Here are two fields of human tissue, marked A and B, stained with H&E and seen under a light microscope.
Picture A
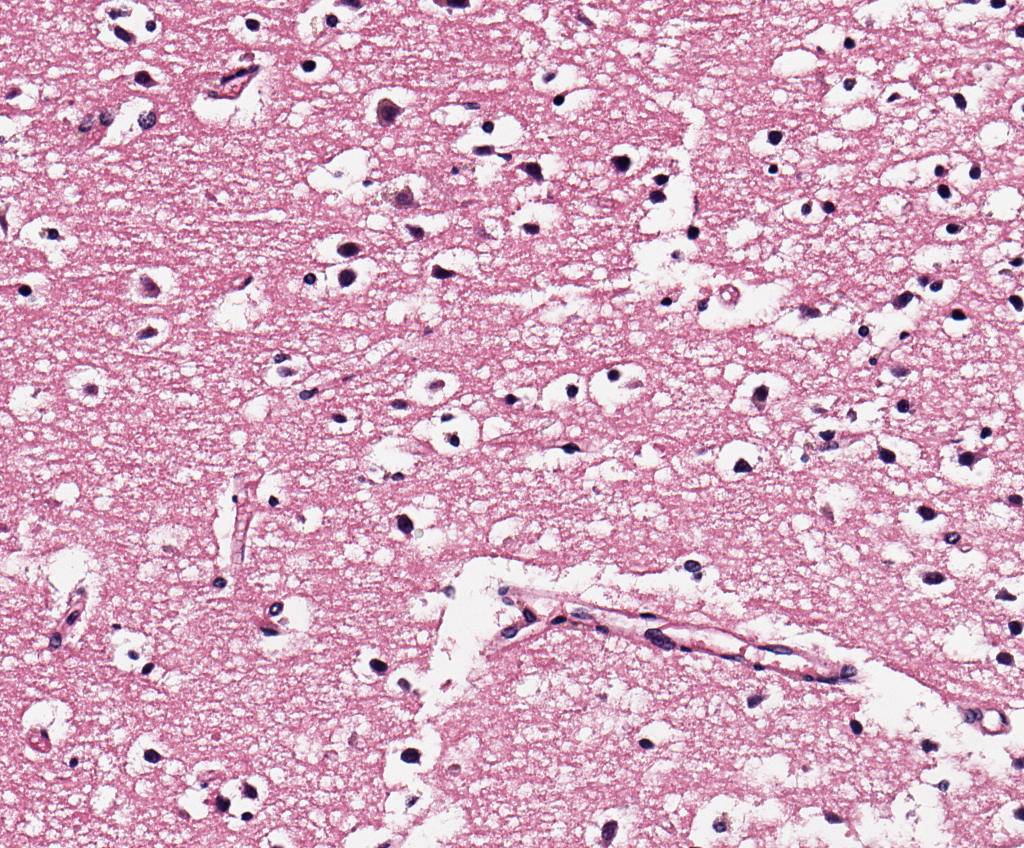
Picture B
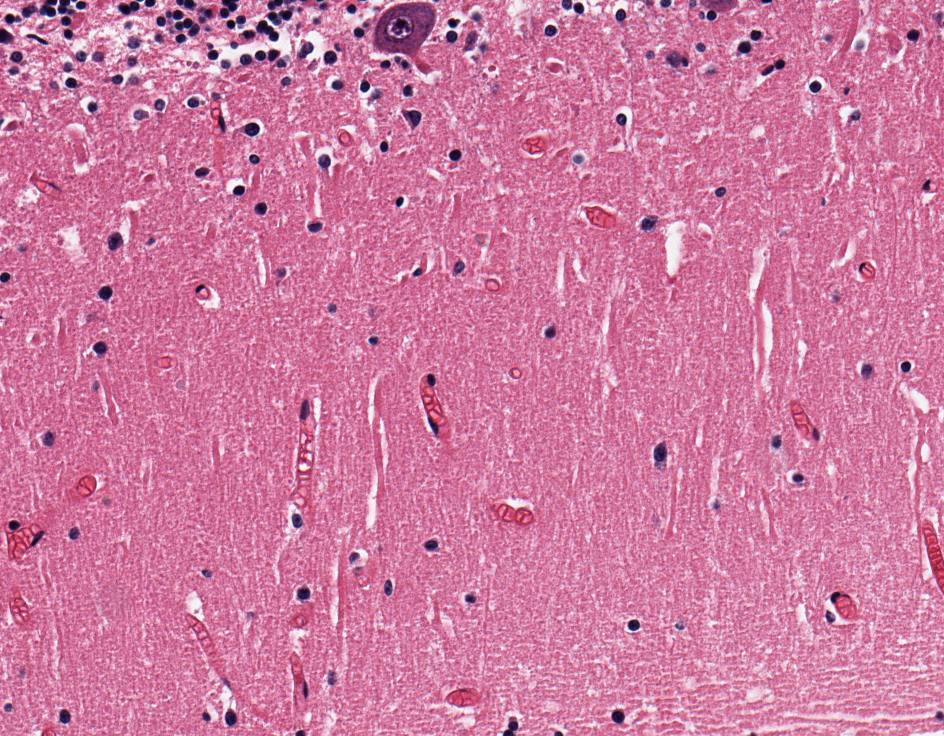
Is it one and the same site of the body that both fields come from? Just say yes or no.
no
